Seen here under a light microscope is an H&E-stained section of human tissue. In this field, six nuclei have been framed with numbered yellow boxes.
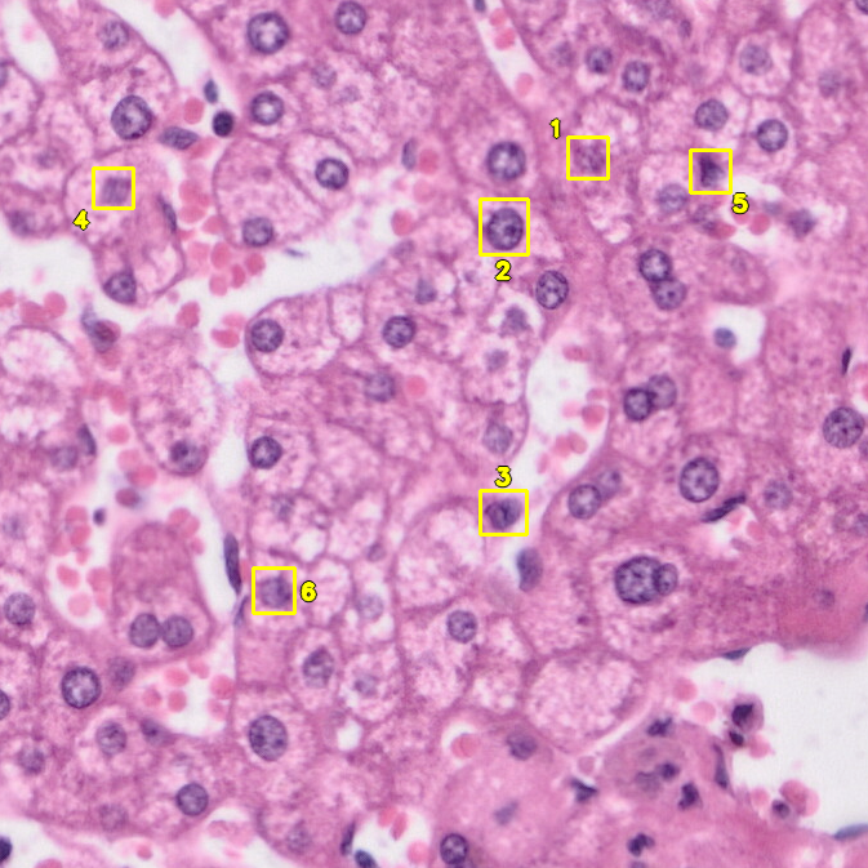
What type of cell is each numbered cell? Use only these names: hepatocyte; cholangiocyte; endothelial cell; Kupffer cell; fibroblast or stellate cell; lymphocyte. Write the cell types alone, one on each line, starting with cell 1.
hepatocyte
hepatocyte
Kupffer cell
hepatocyte
fibroblast or stellate cell
hepatocyte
